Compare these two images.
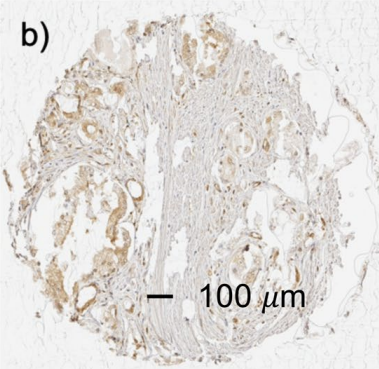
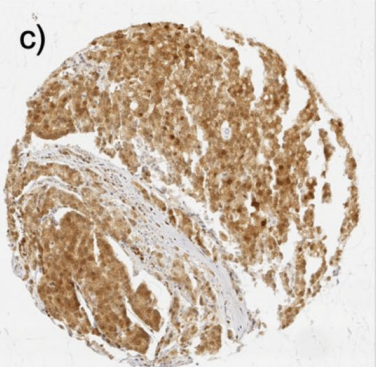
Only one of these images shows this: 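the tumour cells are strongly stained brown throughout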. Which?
the second image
